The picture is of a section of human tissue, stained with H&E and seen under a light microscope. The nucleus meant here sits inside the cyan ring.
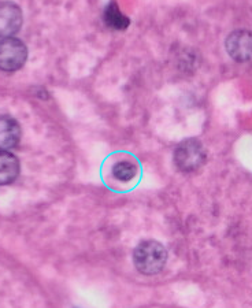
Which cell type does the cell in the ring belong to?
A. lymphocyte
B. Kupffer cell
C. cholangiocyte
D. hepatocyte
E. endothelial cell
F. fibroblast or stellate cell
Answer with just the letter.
A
